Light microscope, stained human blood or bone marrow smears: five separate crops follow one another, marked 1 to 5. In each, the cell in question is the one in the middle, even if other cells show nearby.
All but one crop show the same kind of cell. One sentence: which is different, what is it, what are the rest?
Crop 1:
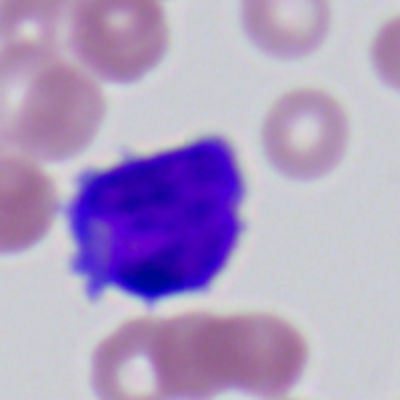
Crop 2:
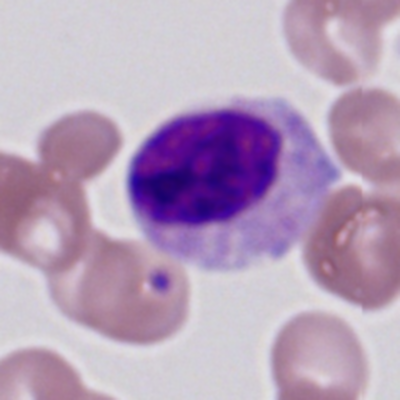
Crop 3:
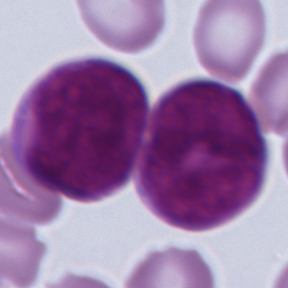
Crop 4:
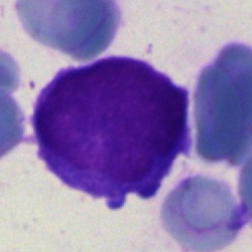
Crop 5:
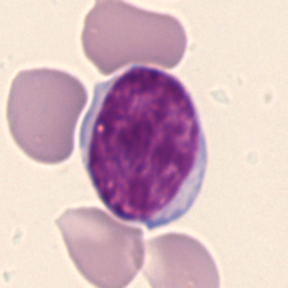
All of the other crops show blasts, while crop 2 shows a lymphocyte instead.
